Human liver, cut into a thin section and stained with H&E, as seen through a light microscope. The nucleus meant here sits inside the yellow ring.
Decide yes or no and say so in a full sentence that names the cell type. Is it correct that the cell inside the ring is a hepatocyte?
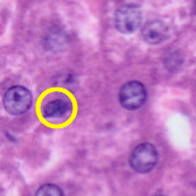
No, instead of a hepatocyte, the cell inside the ring is a fibroblast or stellate cell.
